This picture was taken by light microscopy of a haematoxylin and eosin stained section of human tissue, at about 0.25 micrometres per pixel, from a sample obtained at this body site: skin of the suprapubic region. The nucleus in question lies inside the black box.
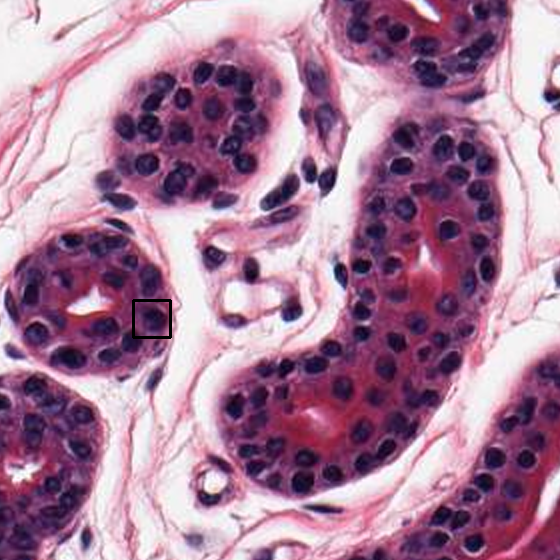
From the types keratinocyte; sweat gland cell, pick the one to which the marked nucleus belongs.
sweat gland cell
